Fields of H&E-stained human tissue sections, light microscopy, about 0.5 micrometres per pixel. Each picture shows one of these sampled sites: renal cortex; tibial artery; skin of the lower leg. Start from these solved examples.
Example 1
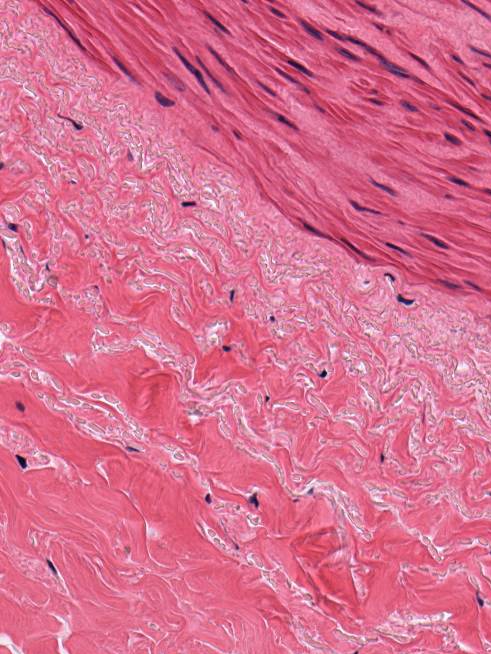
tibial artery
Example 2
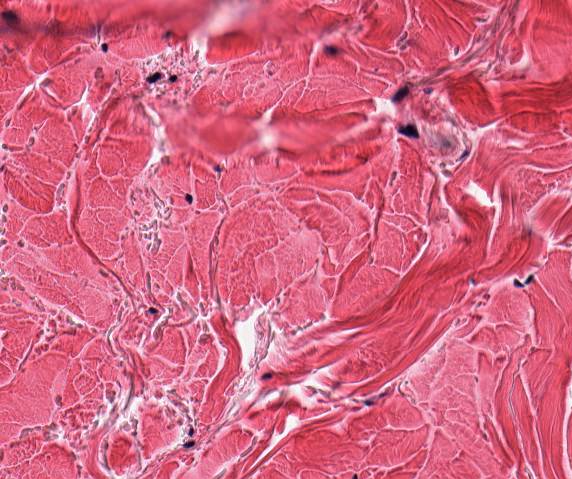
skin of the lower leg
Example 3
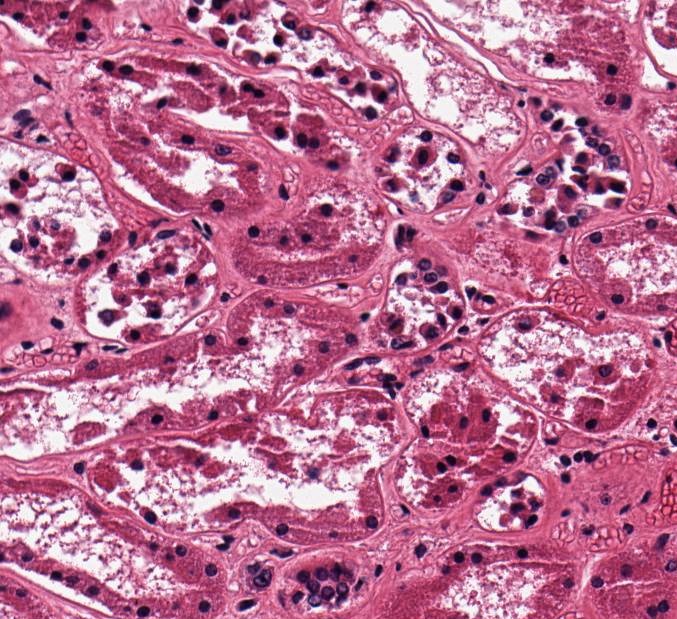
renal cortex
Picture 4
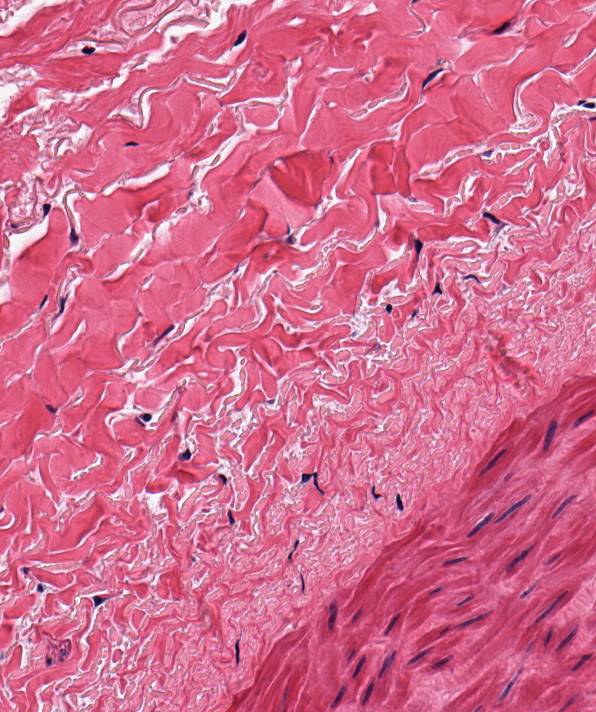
tibial artery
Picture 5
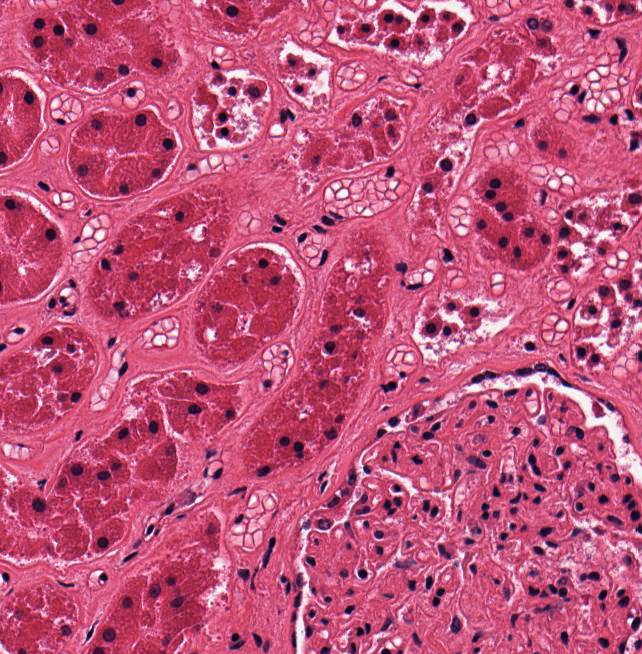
renal cortex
